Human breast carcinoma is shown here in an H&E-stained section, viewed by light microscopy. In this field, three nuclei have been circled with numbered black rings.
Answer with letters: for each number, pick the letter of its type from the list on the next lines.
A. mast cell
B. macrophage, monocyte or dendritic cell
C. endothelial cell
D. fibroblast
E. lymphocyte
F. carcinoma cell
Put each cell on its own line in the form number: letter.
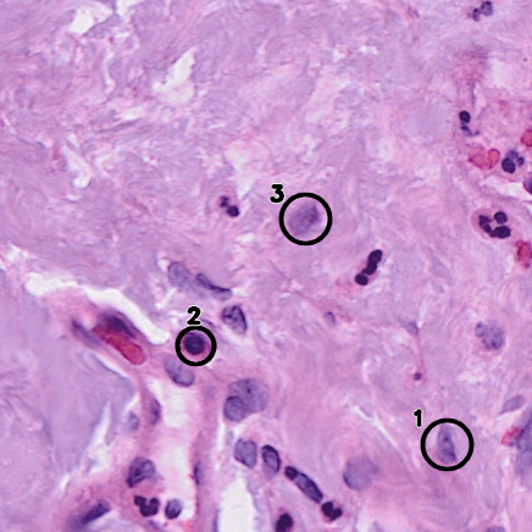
1: D
2: A
3: D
